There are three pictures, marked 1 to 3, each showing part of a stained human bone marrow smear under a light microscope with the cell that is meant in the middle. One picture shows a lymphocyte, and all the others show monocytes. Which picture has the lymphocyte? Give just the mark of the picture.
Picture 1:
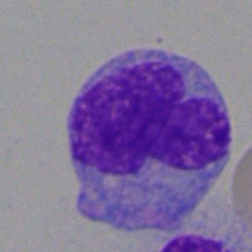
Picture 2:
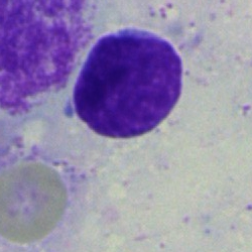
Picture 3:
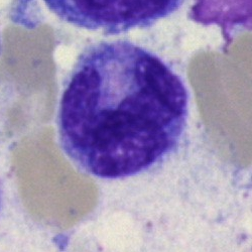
2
